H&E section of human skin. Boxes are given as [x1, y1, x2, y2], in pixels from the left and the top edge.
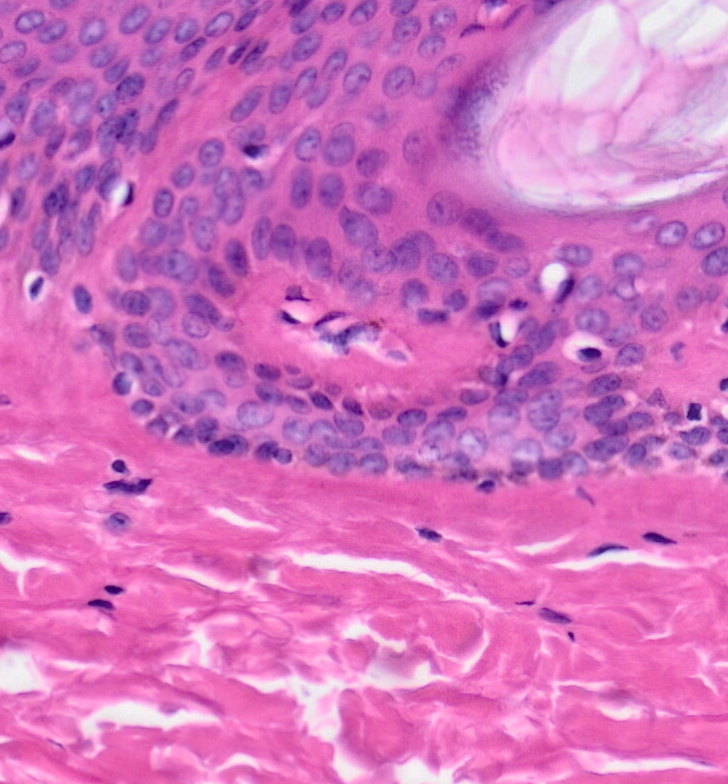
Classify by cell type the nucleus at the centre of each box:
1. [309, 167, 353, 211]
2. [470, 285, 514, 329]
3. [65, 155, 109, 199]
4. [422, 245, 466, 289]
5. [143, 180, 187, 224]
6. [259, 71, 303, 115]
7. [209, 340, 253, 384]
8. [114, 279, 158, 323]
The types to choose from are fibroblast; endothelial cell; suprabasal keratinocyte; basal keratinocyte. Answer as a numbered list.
1. suprabasal keratinocyte
2. basal keratinocyte
3. basal keratinocyte
4. suprabasal keratinocyte
5. basal keratinocyte
6. suprabasal keratinocyte
7. basal keratinocyte
8. basal keratinocyte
